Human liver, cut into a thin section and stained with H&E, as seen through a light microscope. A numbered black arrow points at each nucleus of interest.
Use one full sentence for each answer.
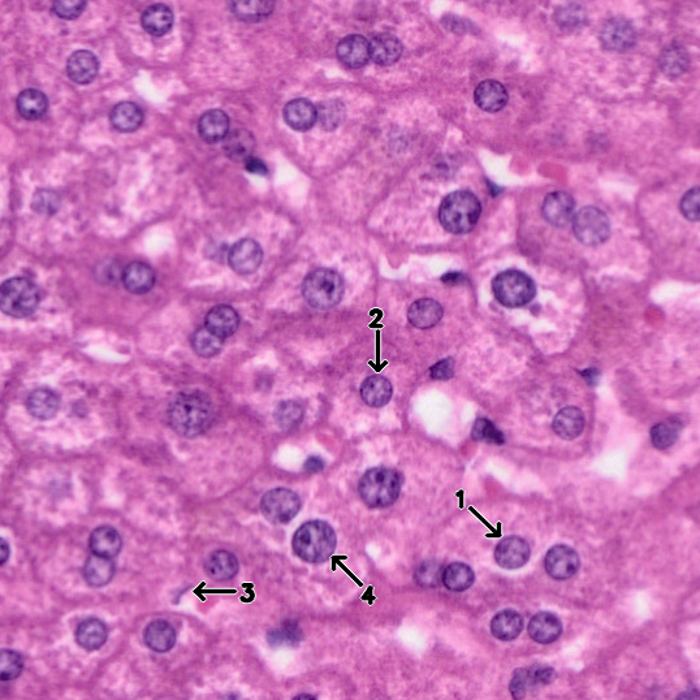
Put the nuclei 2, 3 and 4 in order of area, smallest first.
Smallest first, the nuclei run 3, 2, 4.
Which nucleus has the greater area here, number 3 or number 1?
It is nucleus 1, which covers about 4 times the area of nucleus 3.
